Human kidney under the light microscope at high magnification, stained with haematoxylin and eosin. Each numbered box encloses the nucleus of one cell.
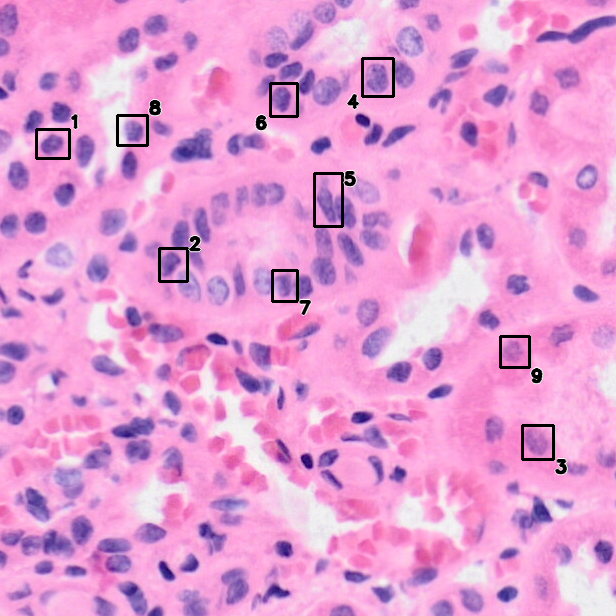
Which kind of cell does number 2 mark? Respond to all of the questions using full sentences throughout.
Cell 2, as marked in the section, is a collecting duct cell.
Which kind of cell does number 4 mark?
Cell number 4 in this section is a collecting duct cell.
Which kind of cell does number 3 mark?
Regarding cell 3, this one is a proximal tubule cell.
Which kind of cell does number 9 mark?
Heads up, the cell numbered 9 is a proximal tubule cell.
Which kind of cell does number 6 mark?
Cell 6 of the marked set is a collecting duct cell.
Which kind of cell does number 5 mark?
The cell that bears the number 5 is a collecting duct cell.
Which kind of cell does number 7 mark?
Marked with the number 7, this cell is a collecting duct cell.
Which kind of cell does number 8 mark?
The cell pointed out as number 8 is a loop of Henle or distal tubule cell.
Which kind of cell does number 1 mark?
The cell numbered 1 represents a loop of Henle or distal tubule cell.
